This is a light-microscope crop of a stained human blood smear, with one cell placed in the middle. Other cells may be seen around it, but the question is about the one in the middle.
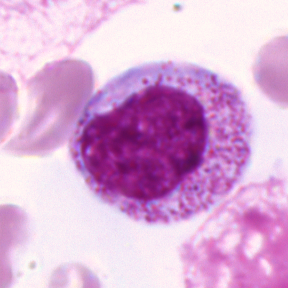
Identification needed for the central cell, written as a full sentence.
The cell at the central position in this crop is a metamyelocyte.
